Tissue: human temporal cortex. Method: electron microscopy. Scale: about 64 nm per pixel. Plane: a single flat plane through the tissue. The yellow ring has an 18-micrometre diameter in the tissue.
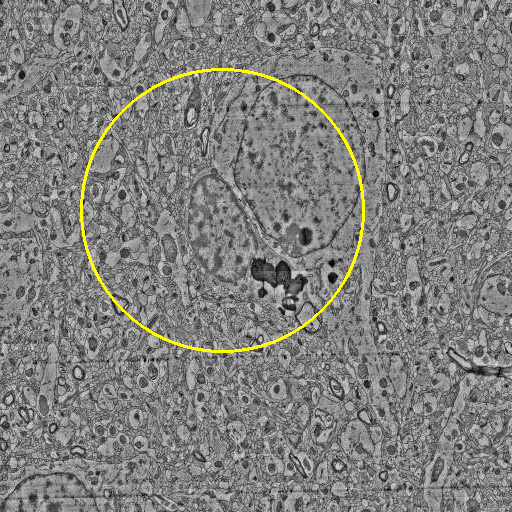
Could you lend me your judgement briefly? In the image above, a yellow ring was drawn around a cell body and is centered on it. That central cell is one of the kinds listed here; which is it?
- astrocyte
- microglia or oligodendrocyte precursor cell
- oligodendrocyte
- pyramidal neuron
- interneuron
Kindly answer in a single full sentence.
Going by the list, an oligodendrocyte is the kind at the ring's center in the picture.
